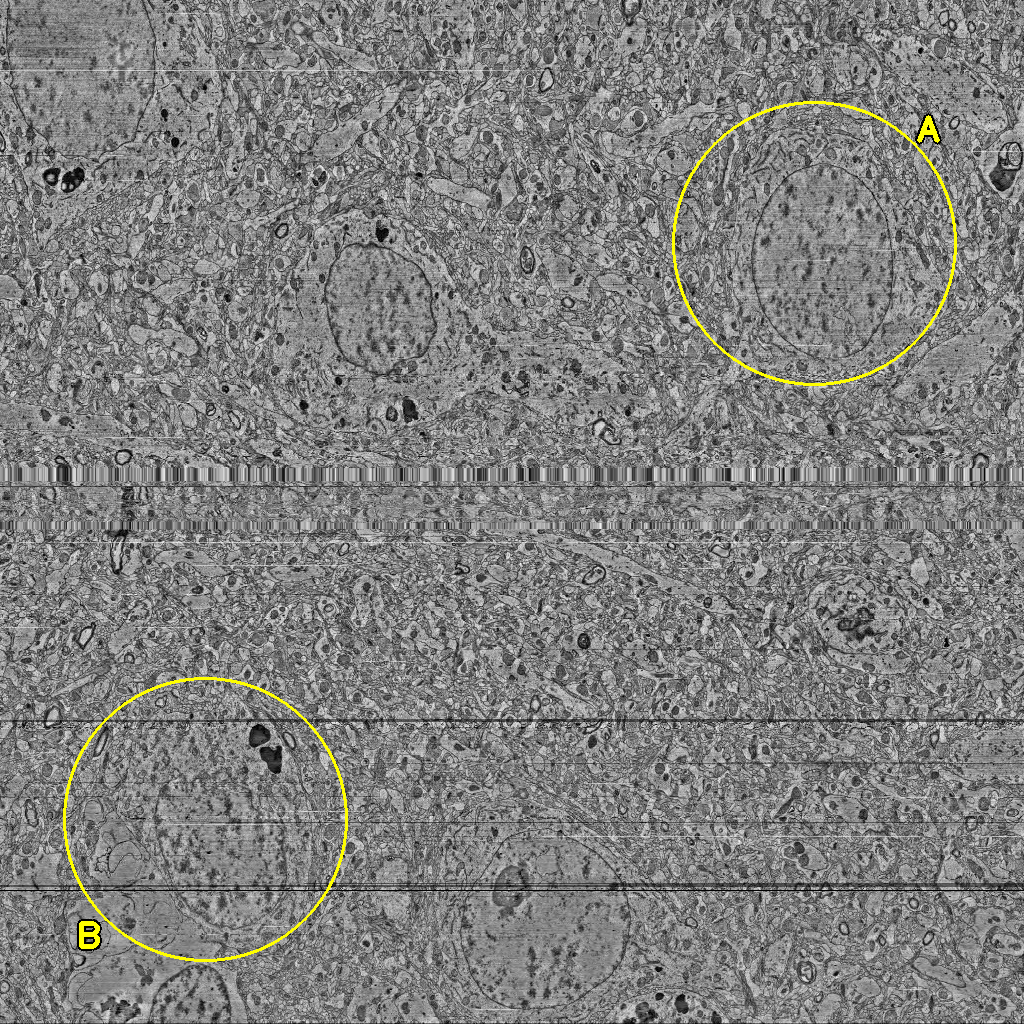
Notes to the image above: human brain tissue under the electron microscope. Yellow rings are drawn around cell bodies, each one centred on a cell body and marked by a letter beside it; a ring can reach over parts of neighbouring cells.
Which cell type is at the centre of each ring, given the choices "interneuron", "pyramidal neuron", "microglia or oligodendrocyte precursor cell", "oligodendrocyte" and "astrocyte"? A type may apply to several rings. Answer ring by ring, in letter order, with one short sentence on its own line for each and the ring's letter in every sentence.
Inside ring A, at its centre, is a pyramidal neuron.
Inside ring B, at its centre, is an interneuron.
